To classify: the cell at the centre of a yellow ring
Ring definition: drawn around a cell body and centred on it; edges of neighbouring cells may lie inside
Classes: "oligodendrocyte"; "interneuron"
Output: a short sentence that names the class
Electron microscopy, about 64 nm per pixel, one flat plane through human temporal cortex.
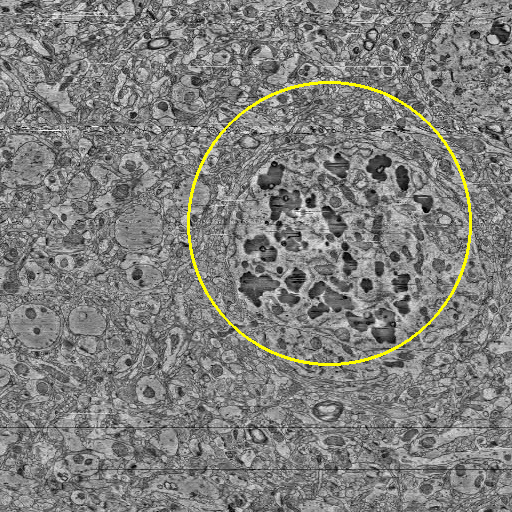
The ringed cell is an interneuron.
